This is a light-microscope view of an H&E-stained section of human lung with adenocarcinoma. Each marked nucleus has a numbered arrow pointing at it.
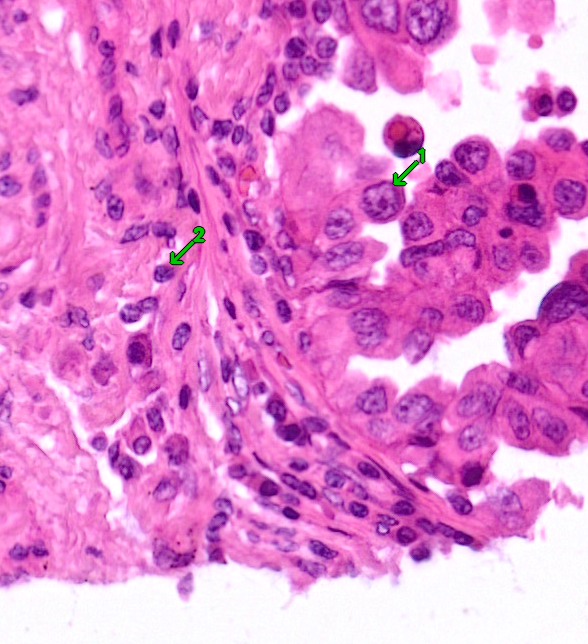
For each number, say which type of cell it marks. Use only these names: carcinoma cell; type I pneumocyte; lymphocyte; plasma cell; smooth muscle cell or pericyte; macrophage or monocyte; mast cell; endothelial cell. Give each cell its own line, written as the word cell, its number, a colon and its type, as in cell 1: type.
cell 1: carcinoma cell
cell 2: lymphocyte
